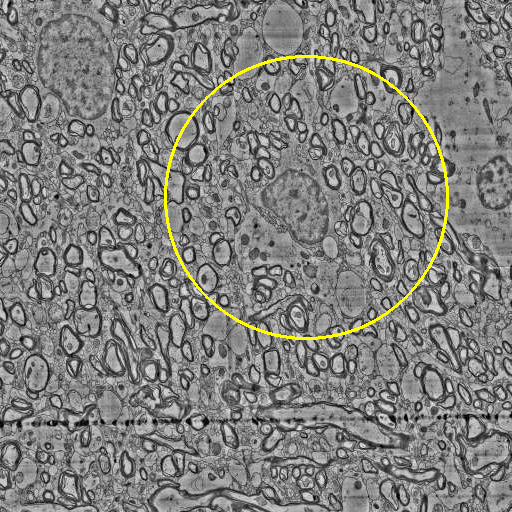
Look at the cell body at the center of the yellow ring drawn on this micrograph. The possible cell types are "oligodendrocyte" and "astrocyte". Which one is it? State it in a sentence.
The cell in the middle of the ring is an oligodendrocyte.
